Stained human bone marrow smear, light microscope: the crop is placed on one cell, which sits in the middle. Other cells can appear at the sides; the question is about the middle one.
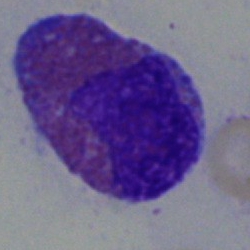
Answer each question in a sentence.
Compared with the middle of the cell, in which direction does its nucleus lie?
The nucleus is pushed toward the lower right of the cell.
